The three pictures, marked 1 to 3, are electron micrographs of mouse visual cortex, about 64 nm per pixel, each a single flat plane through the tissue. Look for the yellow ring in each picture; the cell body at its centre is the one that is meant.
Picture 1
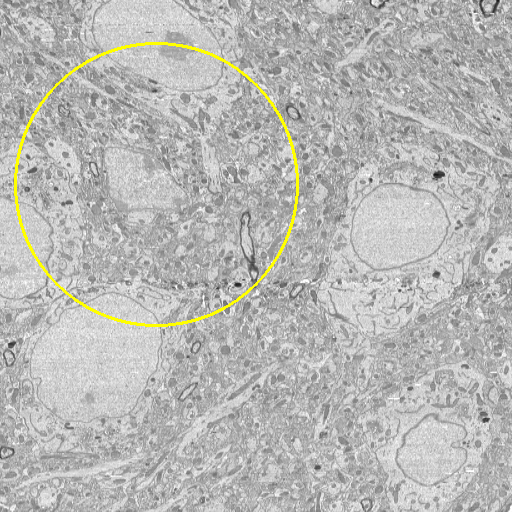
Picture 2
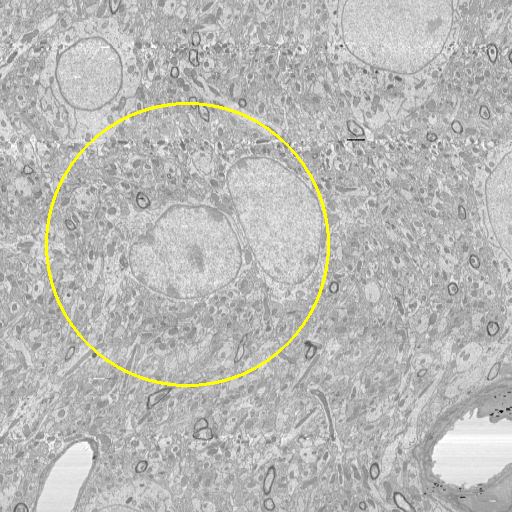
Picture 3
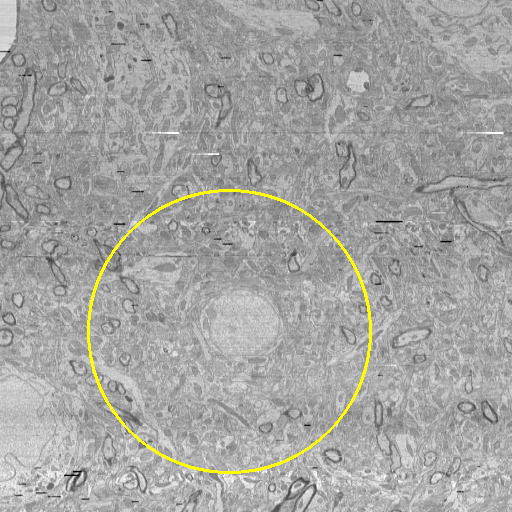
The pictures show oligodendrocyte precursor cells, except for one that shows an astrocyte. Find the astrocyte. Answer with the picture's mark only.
2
